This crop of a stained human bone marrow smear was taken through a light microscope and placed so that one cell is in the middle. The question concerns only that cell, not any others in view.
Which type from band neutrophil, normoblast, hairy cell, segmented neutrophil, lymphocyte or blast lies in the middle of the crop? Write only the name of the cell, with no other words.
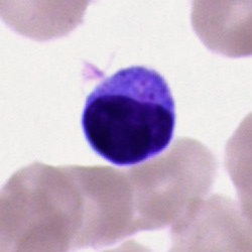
lymphocyte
